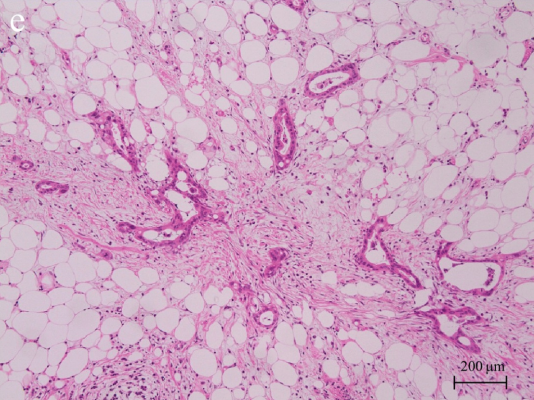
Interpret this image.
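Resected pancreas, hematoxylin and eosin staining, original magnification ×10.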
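This is atrophic pancreatic tissue in which the parenchyma has been largely replaced by fat. Much of the field is filled with large, round, clear fat cells with thin pink borders. Across the center runs a band of pale pink fibrous stroma with scattered small dark nuclei. Within and beside this stroma lie small tubular ducts lined by a single layer of cells with dark purple nuclei. No clusters of granular acinar cells are seen among the fat.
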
